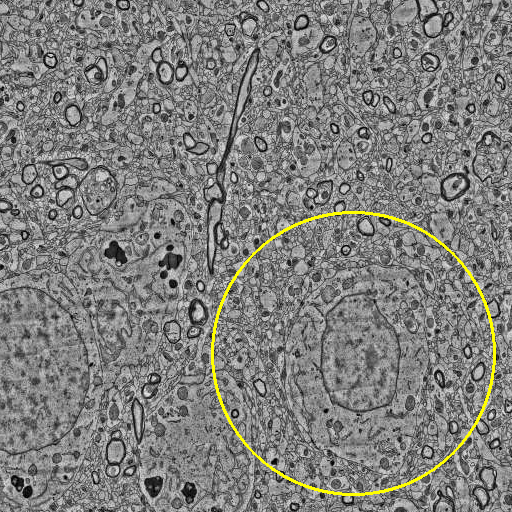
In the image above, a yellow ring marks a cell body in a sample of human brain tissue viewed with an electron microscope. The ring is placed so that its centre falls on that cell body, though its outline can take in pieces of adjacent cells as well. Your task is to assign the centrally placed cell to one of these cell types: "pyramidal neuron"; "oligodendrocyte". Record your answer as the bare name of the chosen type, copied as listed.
pyramidal neuron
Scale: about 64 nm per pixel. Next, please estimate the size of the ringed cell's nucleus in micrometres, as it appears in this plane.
In this plane the nucleus is clearly longer than it is wide, at approximately 8 by 5 micrometres.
